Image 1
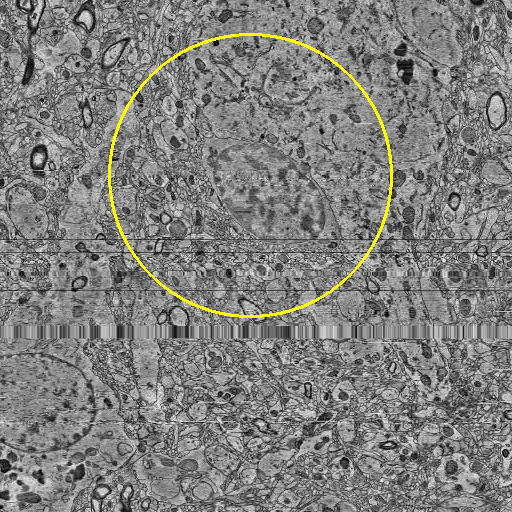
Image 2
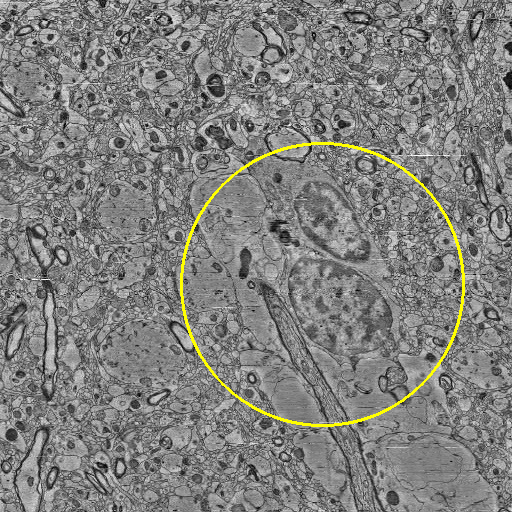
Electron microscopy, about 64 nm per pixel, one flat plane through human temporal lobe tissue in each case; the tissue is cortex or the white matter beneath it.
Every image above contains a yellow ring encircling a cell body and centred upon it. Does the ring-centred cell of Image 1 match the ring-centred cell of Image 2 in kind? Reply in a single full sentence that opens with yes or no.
Yes, the cell at the ring's centre in Image 1 is the same kind as that in Image 2.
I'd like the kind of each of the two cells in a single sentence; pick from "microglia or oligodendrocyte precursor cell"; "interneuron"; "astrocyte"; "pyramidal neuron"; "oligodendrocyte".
Each of the ringed cells, first and second, is an oligodendrocyte.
